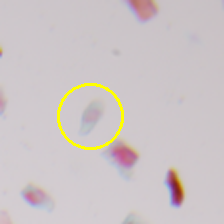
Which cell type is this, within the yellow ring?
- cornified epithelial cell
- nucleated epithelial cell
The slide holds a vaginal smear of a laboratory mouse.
Within the ring is a nucleated epithelial cell.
